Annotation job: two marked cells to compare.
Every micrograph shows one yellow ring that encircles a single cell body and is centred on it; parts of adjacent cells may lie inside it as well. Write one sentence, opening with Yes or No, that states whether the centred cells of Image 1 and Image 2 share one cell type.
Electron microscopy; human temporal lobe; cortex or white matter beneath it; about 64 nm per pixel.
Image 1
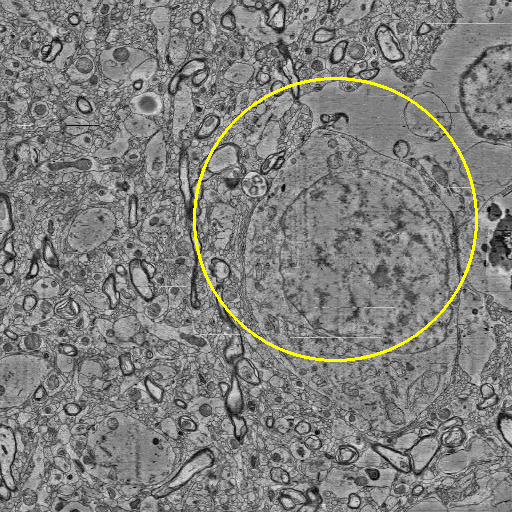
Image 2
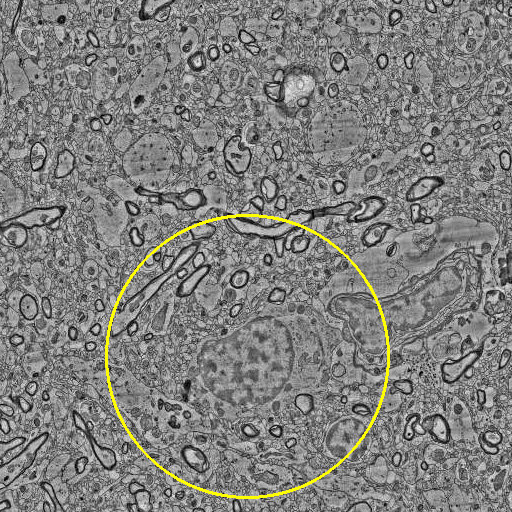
No, the cell centred in Image 1 and the cell centred in Image 2 are of two types.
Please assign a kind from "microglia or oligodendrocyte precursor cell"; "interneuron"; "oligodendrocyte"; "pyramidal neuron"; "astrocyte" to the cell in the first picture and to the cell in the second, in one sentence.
In the first picture we have a pyramidal neuron, and in the second, an oligodendrocyte.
